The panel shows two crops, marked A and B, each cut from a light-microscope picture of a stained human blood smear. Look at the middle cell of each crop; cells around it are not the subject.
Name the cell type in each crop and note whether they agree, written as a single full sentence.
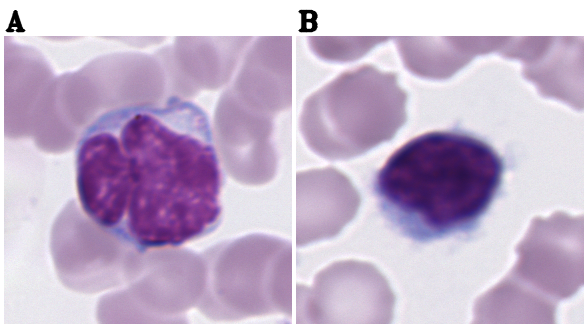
No, crop A holds a large granular lymphocyte, and a hairy cell occupies crop B.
